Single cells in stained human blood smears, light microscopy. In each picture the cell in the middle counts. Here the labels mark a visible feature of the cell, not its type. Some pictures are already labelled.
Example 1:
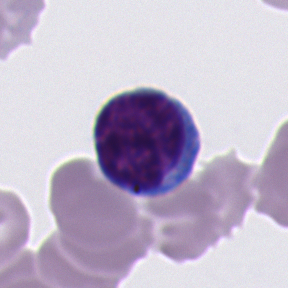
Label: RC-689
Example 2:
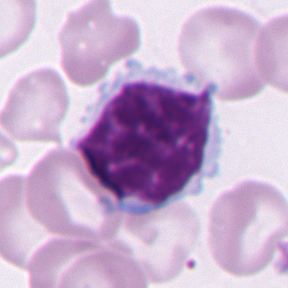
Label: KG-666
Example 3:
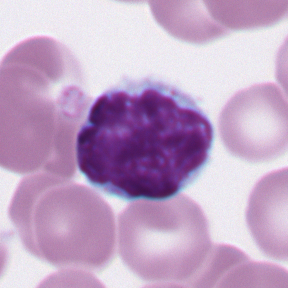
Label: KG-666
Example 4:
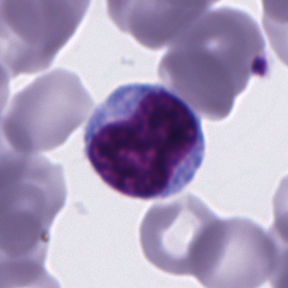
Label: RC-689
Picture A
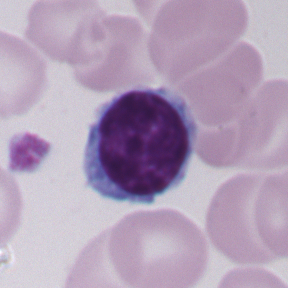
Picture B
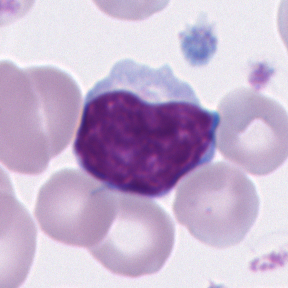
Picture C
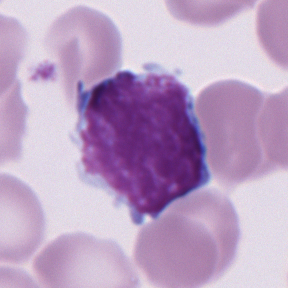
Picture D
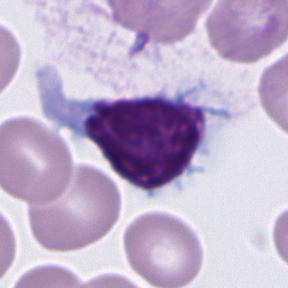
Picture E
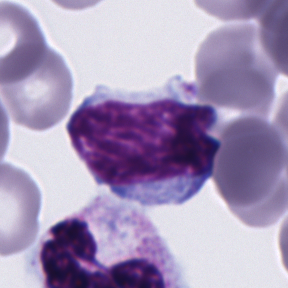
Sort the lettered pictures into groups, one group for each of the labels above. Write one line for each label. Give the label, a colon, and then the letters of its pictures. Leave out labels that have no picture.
KG-666: A, B, C, D, E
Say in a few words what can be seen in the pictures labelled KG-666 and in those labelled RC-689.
Seen in KG-666: ragged outline or projections; seen in RC-689: smooth outline.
